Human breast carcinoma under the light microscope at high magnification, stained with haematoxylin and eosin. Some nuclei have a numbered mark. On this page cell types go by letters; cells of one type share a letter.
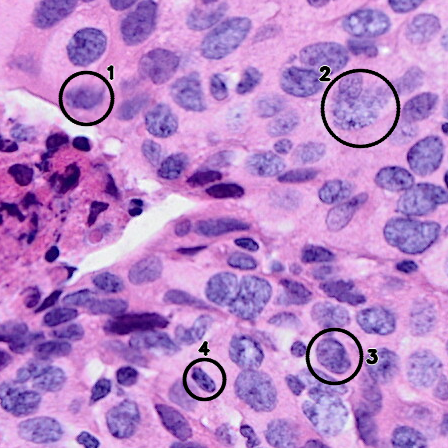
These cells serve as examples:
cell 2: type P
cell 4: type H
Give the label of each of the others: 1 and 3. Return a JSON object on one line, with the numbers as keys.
{"1": "type P", "3": "type P"}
